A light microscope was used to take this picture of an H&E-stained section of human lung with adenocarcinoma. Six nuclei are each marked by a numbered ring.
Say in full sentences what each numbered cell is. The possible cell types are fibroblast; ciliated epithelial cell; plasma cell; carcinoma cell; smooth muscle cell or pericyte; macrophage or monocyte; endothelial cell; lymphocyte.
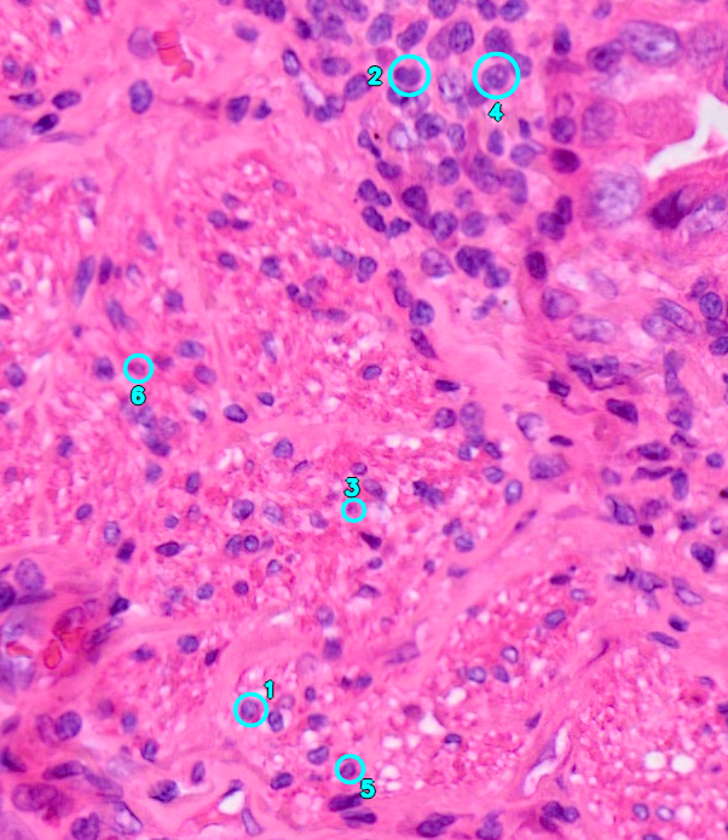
Cell 1 is a smooth muscle cell or pericyte, cell 2 is a lymphocyte, cell 3 is a smooth muscle cell or pericyte, cell 4 is a lymphocyte, cell 5 is a smooth muscle cell or pericyte and cell 6 is a smooth muscle cell or pericyte.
